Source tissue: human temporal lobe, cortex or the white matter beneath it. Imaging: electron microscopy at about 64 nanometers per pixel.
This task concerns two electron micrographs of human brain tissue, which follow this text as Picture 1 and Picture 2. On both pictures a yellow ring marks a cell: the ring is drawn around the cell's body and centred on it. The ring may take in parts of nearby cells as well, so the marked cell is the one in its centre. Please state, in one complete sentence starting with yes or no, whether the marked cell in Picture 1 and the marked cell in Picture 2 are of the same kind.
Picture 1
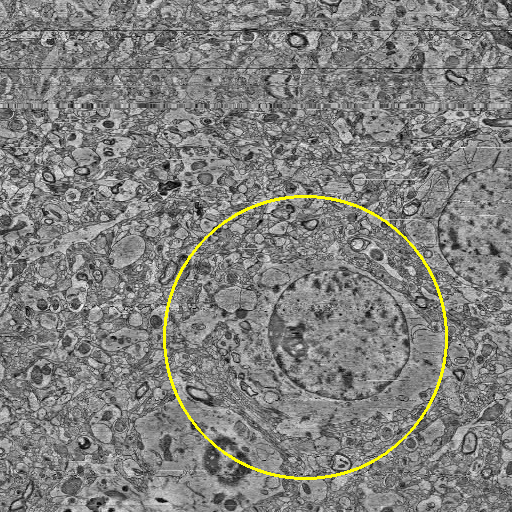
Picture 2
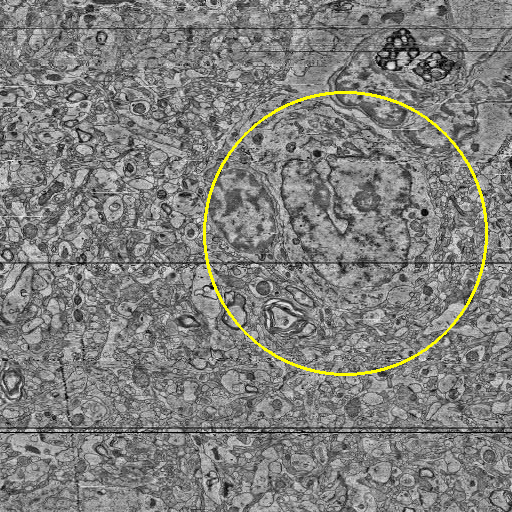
No, the marked cells in the two pictures are of two kinds.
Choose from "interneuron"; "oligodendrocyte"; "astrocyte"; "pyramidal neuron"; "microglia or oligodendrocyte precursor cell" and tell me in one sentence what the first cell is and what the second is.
What the first ring is centred on is an astrocyte; what the second ring is centred on is an interneuron.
